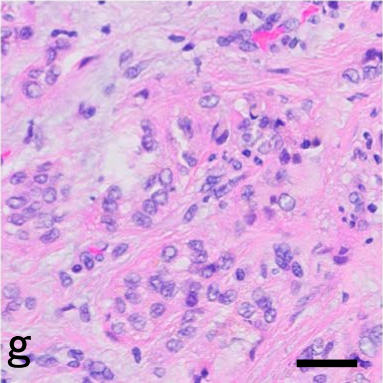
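Large polygonal to elongated tumor cells lie in groups within pink fibrillar and hyaline material. Cytoplasm is pale pink and ill-defined.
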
